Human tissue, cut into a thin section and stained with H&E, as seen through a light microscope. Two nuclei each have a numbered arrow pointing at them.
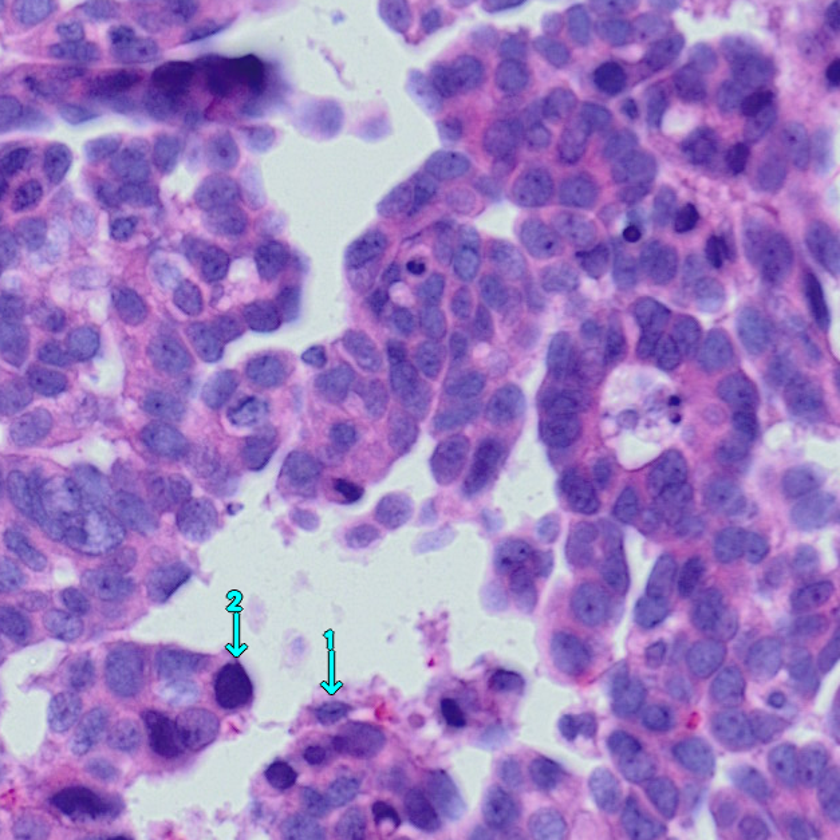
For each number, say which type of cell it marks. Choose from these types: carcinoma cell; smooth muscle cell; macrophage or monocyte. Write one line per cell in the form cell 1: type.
cell 1: macrophage or monocyte
cell 2: carcinoma cell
